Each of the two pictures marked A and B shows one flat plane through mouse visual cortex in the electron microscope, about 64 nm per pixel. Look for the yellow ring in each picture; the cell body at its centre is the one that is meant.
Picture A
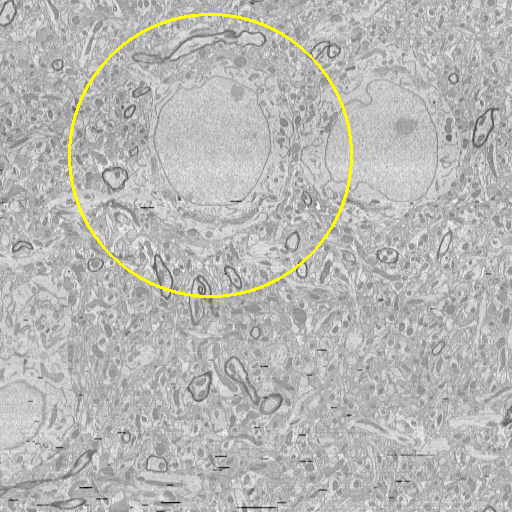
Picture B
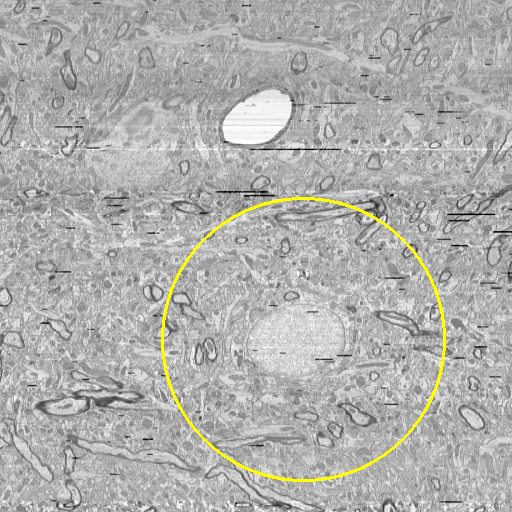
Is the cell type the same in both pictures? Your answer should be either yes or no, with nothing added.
no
